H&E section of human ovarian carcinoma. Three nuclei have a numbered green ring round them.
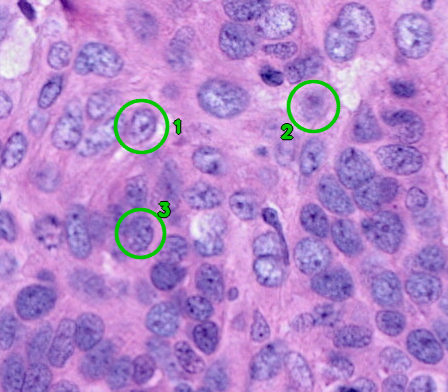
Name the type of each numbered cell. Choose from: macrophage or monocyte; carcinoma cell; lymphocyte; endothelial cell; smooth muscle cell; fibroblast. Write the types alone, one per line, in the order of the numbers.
fibroblast
fibroblast
carcinoma cell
